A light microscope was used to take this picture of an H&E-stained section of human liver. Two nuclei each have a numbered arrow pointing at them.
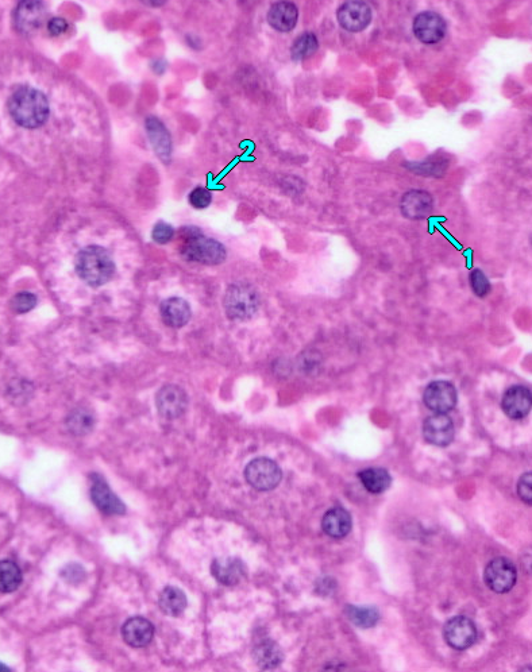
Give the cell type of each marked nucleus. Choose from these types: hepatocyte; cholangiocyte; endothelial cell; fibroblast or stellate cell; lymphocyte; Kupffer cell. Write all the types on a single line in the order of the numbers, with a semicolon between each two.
hepatocyte; lymphocyte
